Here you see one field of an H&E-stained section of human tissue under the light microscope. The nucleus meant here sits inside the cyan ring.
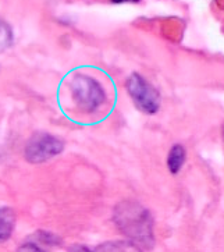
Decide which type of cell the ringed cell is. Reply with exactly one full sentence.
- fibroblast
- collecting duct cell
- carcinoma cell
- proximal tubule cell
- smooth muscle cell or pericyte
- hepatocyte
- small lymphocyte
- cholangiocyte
Considered by cell type, the ringed cell is a fibroblast.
